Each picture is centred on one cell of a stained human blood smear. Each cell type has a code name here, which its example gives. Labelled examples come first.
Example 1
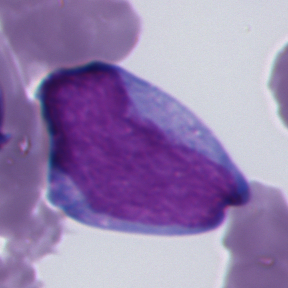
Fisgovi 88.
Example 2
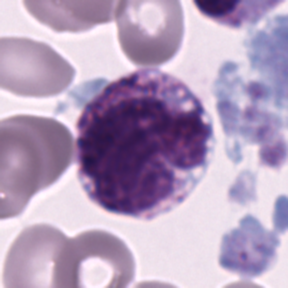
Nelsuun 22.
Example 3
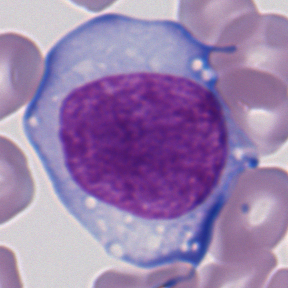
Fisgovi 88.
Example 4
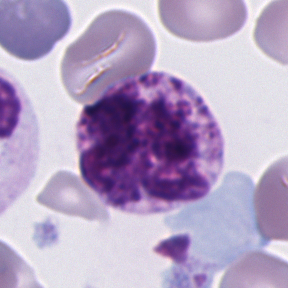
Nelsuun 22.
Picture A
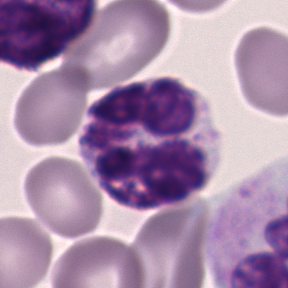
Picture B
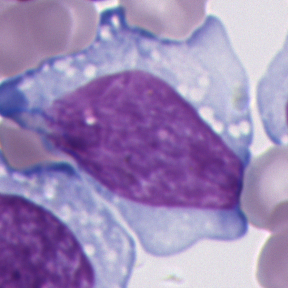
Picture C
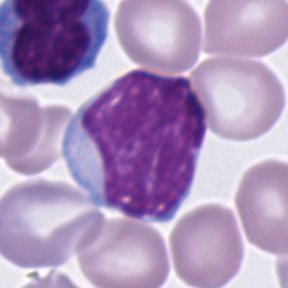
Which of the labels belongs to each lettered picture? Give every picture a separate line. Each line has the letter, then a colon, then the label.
A: Nelsuun 22.
B: Fisgovi 88.
C: Fisgovi 88.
